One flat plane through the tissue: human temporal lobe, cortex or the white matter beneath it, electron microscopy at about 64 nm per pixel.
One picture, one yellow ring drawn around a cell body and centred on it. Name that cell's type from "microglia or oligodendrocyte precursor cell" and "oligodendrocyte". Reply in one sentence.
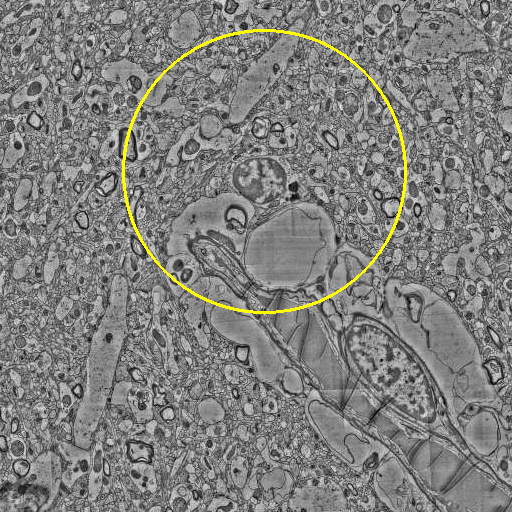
Centred in the ring is a microglial cell or oligodendrocyte precursor cell.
